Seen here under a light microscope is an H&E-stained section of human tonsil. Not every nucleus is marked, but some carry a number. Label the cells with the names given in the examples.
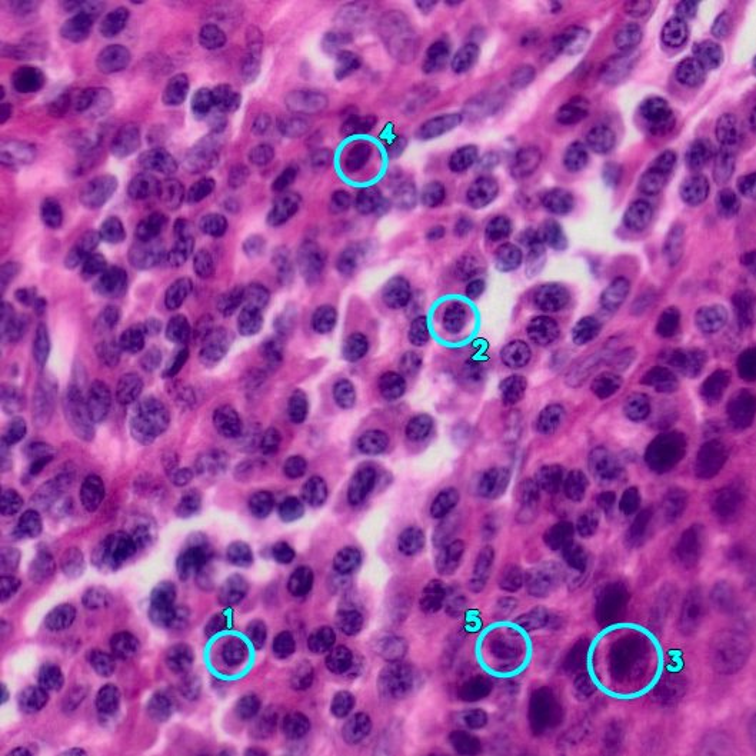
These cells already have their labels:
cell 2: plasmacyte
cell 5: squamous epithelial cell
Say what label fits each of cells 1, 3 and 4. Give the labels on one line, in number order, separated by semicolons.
plasmacyte; squamous epithelial cell; plasmacyte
